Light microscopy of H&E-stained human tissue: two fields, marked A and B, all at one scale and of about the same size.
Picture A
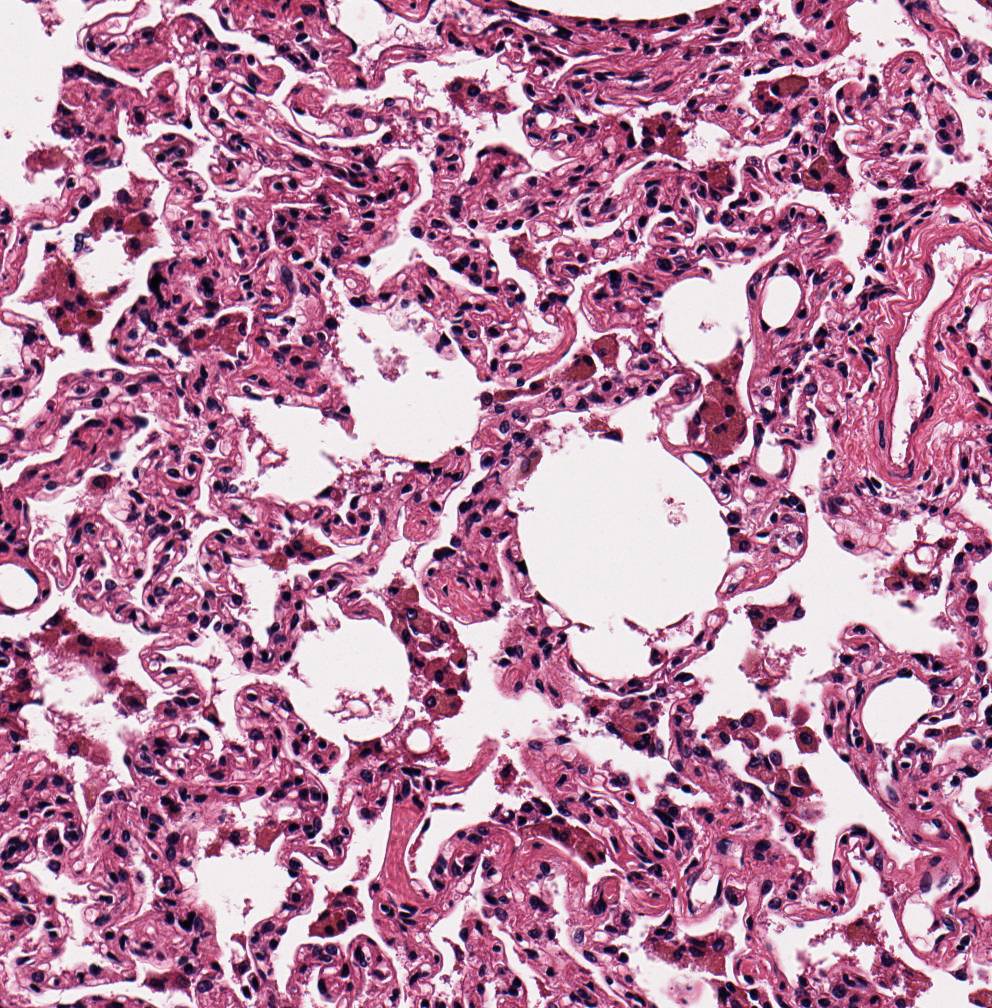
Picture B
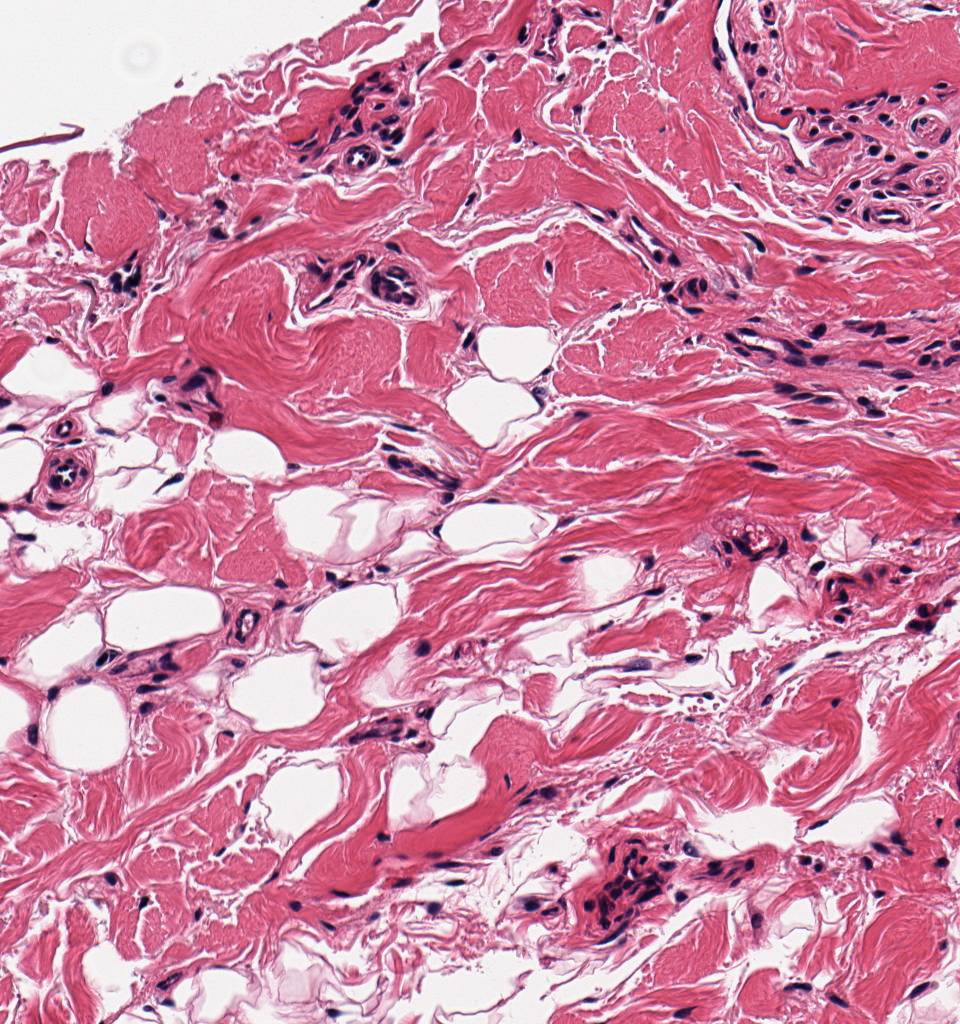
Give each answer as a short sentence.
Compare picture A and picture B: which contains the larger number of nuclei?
Picture A holds more nuclei than picture B.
